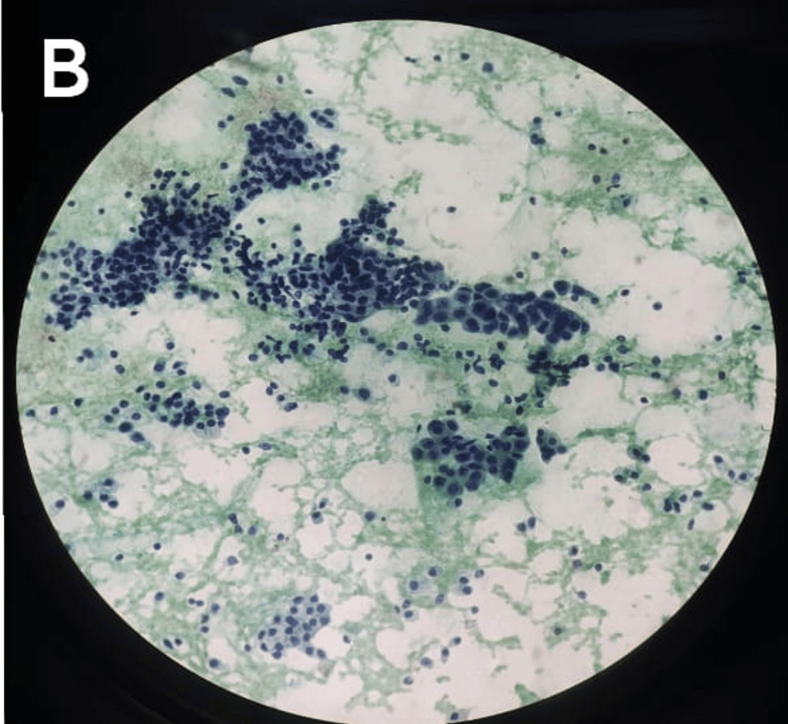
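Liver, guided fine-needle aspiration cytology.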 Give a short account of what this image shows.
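This aspirate smear shows crowded, overlapping clusters of tumour cells with dark blue nuclei set in a green, web-like background. The clusters are cohesive and three-dimensional, with nuclei packed closely together, while smaller groups and single cells lie scattered around them.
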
